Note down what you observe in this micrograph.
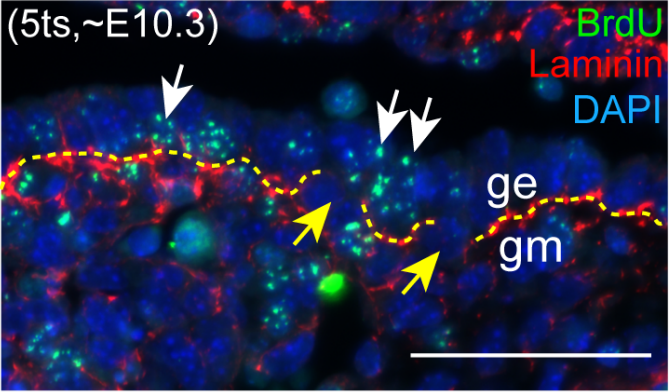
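A section through the genital ridge shows a surface epithelium of crowded blue nuclei lying above a thin red basement membrane, with loosely arranged mesenchyme cells beneath. The red band is interrupted at places, where epithelial cells abut the mesenchyme directly. Several epithelial nuclei carry clusters of green dots.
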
